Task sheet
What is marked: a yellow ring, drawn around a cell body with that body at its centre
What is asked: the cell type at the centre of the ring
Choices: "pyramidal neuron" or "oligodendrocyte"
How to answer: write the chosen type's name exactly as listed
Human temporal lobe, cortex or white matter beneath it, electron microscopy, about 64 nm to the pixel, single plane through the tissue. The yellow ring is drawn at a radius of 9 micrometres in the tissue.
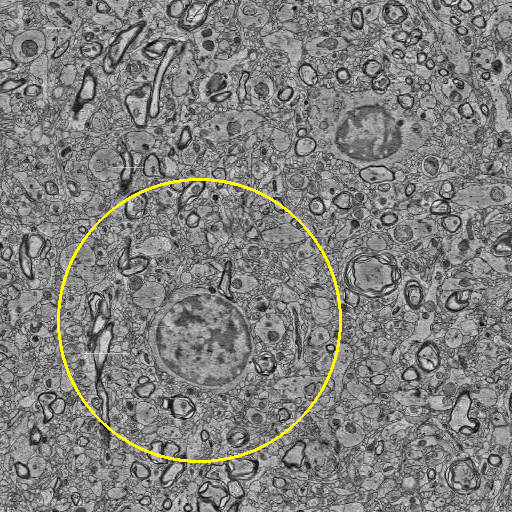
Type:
oligodendrocyte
